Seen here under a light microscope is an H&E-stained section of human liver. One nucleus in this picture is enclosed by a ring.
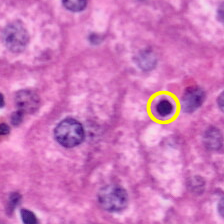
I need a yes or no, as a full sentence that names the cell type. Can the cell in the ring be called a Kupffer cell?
No, it is as a lymphocyte, not a Kupffer cell, that the cell in the ring is classified.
